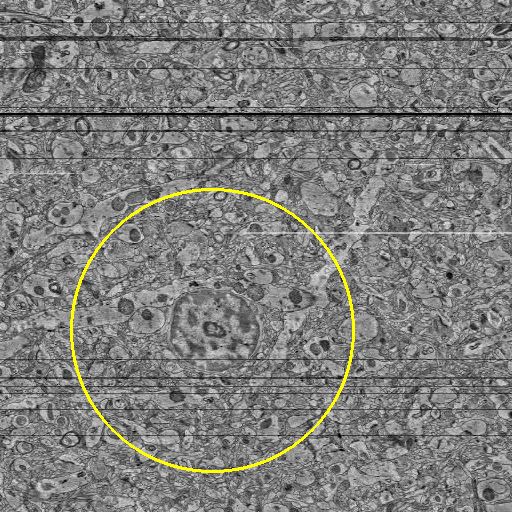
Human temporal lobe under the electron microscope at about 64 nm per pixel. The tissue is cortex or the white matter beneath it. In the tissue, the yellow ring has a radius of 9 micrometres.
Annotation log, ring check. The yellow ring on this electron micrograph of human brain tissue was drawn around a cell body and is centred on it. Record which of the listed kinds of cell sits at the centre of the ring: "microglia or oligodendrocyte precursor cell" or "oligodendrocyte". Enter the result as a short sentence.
The cell at the centre of the ring is an oligodendrocyte.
